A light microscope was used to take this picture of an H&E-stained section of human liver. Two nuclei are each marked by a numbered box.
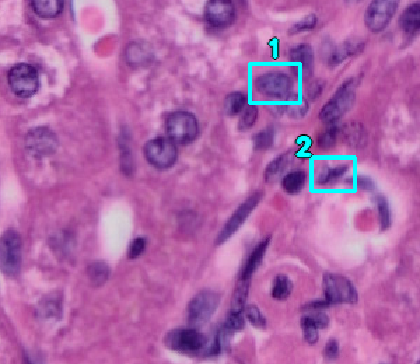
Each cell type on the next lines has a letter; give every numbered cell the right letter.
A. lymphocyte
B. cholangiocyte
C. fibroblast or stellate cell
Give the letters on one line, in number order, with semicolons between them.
B; C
